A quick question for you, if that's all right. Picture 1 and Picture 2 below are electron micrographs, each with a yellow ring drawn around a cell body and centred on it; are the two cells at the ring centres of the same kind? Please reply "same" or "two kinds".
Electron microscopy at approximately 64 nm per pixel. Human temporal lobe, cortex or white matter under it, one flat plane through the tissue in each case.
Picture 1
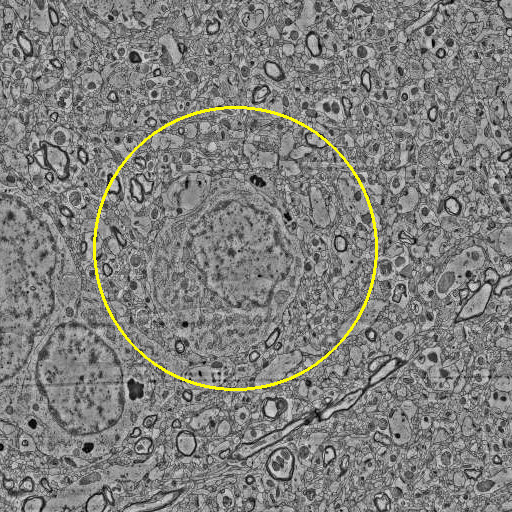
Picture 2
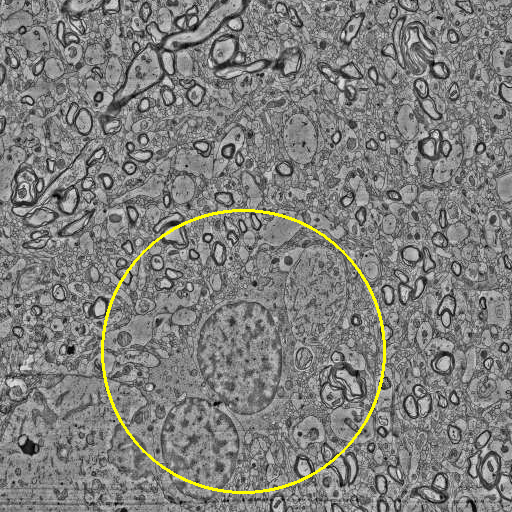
two kinds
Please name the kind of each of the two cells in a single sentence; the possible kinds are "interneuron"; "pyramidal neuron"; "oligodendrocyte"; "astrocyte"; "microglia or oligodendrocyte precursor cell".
In the first picture the ring is centred on an interneuron, and in the second on an oligodendrocyte.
